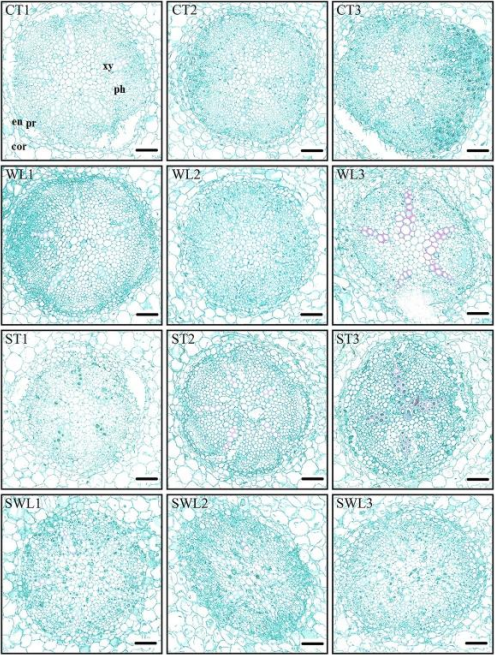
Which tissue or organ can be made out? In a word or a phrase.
Root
